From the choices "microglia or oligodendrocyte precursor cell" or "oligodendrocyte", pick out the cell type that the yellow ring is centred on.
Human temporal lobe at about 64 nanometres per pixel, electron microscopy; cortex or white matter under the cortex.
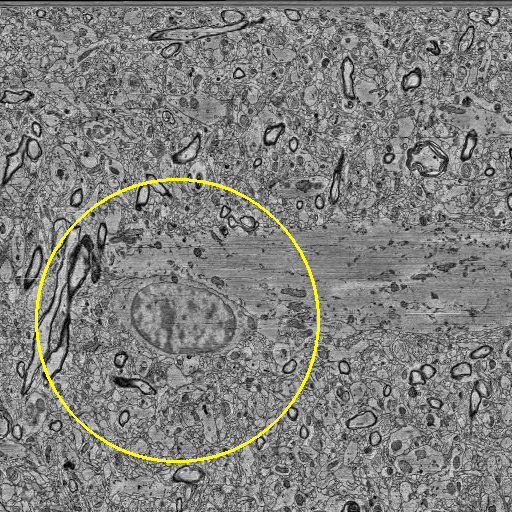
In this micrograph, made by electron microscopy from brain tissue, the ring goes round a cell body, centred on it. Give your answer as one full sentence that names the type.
The yellow ring is centred on an oligodendrocyte, whose cell body it encircles in the picture.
